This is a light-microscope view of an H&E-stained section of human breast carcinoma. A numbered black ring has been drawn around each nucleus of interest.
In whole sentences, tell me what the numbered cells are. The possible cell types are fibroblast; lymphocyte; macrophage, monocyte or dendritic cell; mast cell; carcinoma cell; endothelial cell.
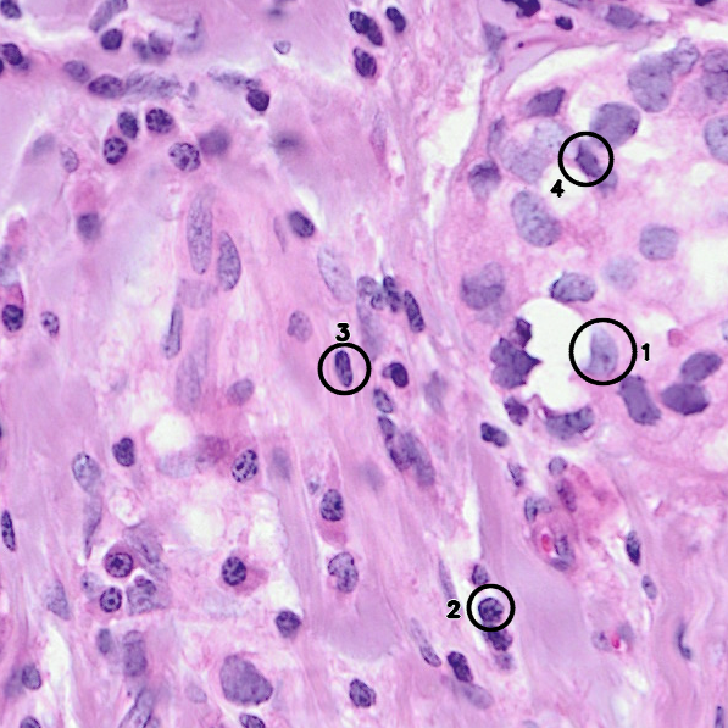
Cells 1 and 4 are carcinoma cells. Cells 2 and 3 are lymphocytes.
